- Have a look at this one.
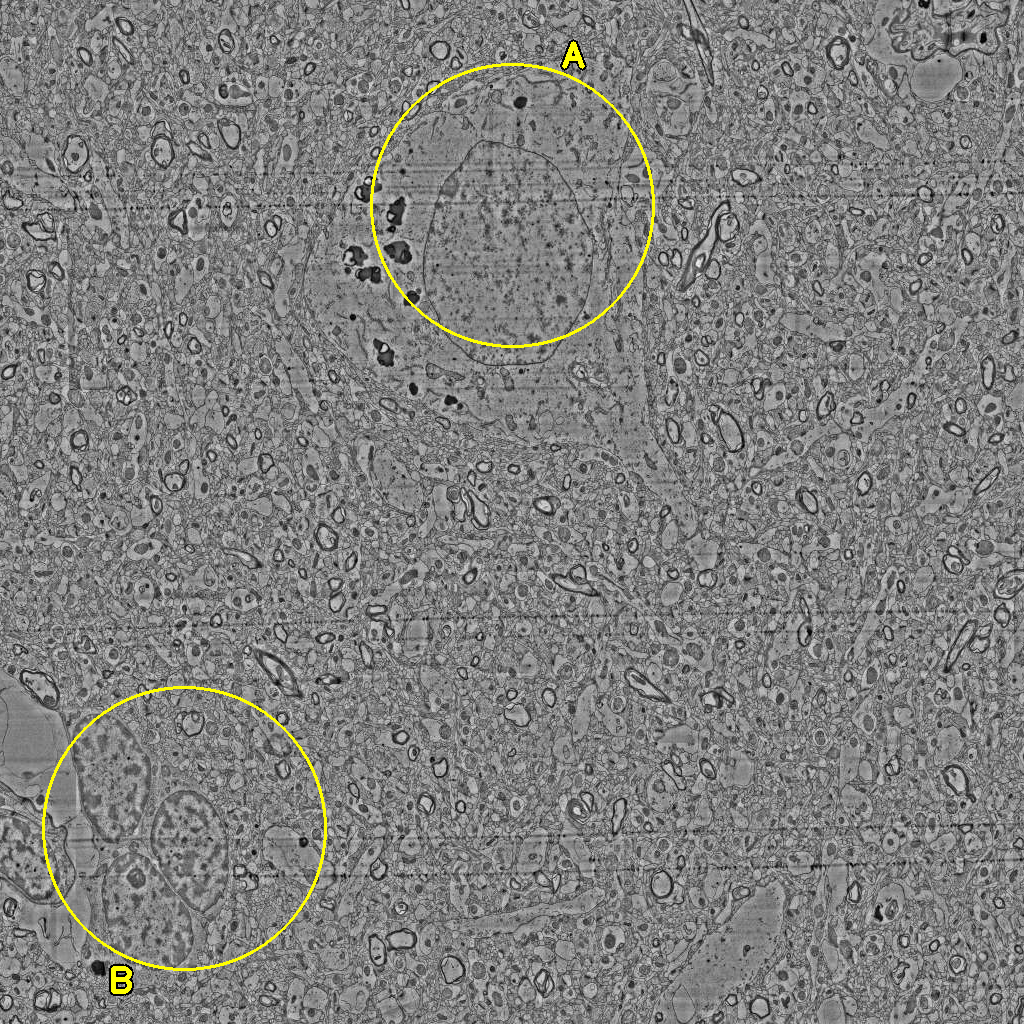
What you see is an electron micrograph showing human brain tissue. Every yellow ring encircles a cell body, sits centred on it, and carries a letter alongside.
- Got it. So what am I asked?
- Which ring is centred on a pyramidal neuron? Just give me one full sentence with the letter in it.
The cell asked for sits in the centre of the ring lettered A.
